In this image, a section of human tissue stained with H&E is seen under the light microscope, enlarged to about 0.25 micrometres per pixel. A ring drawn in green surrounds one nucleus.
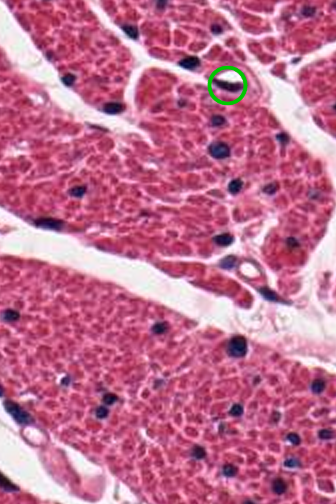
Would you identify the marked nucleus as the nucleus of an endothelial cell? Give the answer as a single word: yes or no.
yes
